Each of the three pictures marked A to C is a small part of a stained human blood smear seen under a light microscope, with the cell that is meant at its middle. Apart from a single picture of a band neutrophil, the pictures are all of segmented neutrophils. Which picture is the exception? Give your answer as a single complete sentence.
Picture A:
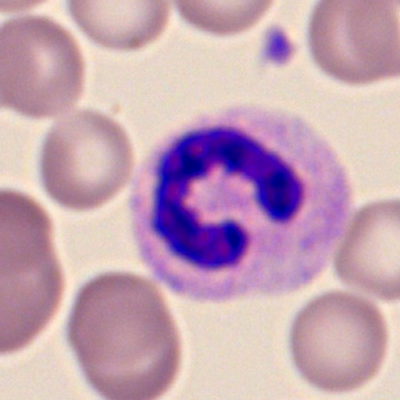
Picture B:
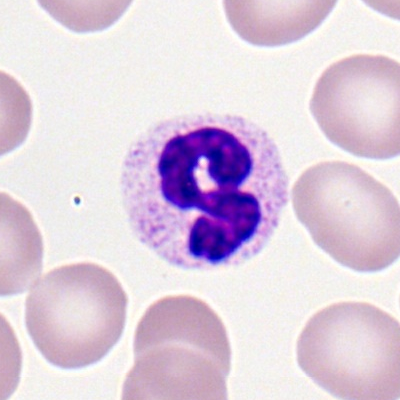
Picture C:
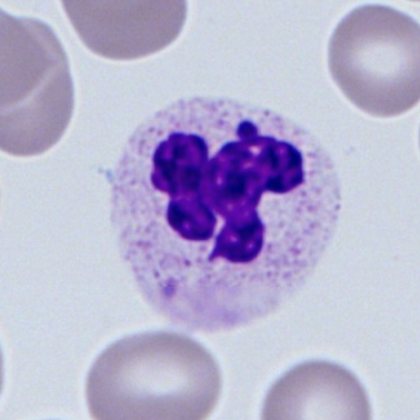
The cell in picture A is the band neutrophil.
